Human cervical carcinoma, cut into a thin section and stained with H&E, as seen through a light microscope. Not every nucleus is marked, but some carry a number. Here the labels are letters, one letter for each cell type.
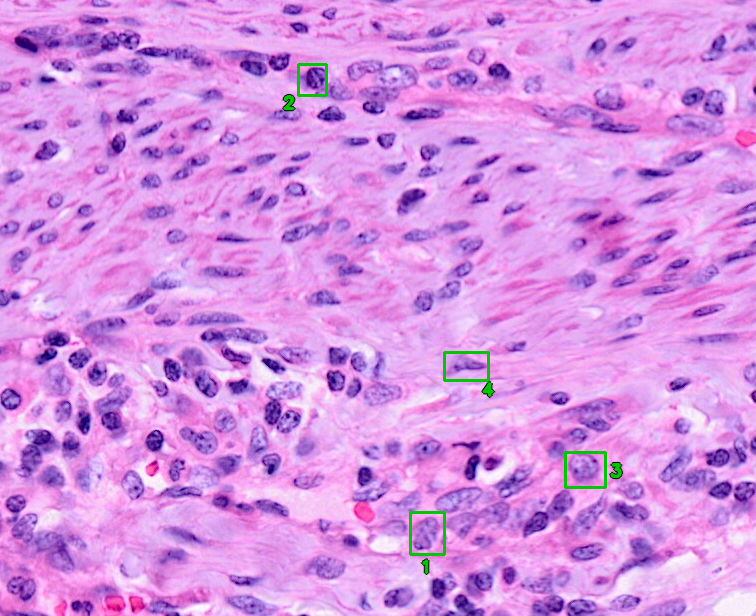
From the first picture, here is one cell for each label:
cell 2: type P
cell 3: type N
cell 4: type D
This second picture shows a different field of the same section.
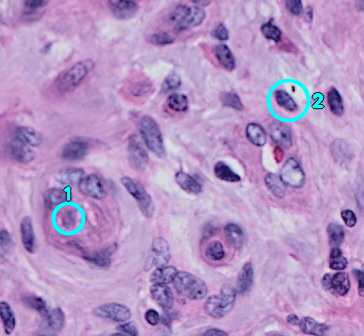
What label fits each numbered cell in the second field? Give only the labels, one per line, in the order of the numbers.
type N
type P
